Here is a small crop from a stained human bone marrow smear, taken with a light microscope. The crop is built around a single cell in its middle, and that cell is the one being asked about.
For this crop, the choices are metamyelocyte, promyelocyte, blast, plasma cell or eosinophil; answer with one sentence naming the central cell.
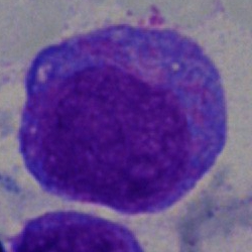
In the middle of this smear crop is a promyelocyte.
